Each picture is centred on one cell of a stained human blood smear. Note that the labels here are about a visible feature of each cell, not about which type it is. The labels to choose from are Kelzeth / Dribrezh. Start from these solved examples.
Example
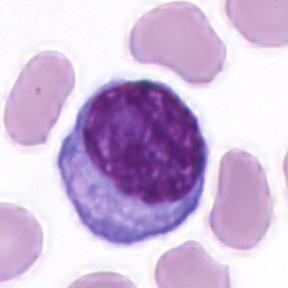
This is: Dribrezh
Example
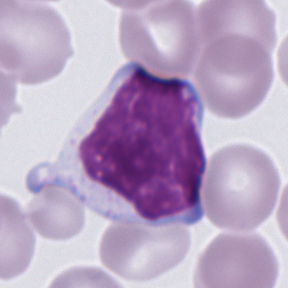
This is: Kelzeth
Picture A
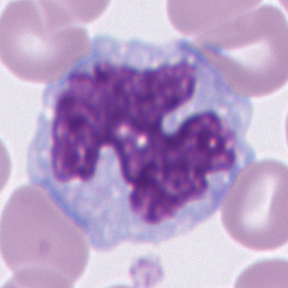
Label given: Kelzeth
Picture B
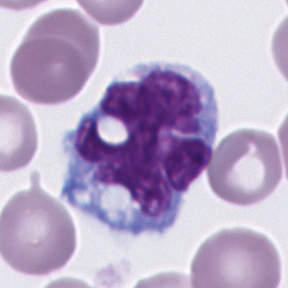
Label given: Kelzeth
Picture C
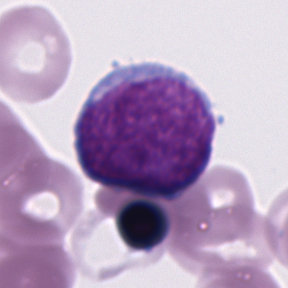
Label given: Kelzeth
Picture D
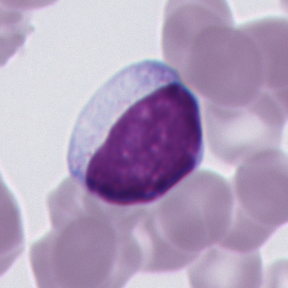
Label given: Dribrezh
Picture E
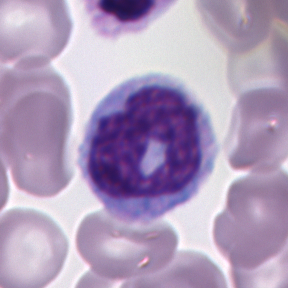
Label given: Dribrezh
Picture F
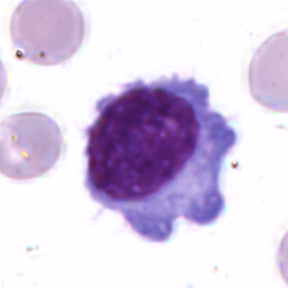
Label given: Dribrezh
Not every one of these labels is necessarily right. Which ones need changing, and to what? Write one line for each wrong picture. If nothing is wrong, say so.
F is labelled Dribrezh; correct label: Kelzeth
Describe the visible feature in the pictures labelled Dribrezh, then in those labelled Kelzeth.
Dribrezh, smooth outline; Kelzeth, ragged outline or projections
